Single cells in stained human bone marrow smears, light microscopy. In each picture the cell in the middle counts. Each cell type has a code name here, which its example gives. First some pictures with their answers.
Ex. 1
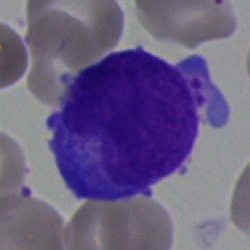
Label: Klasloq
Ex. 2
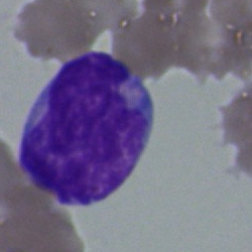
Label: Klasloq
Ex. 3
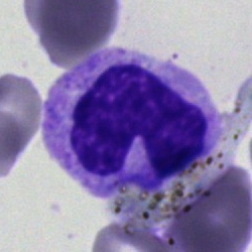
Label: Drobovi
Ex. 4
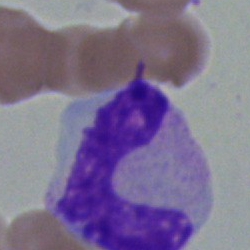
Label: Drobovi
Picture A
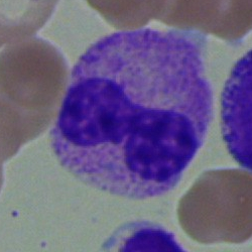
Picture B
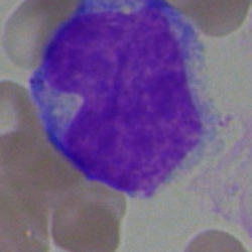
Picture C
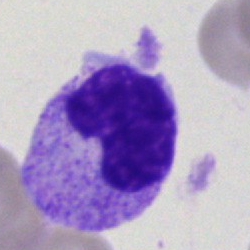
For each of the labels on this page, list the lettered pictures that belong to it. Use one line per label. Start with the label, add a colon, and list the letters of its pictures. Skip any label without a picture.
Klasloq: B
Drobovi: A, C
